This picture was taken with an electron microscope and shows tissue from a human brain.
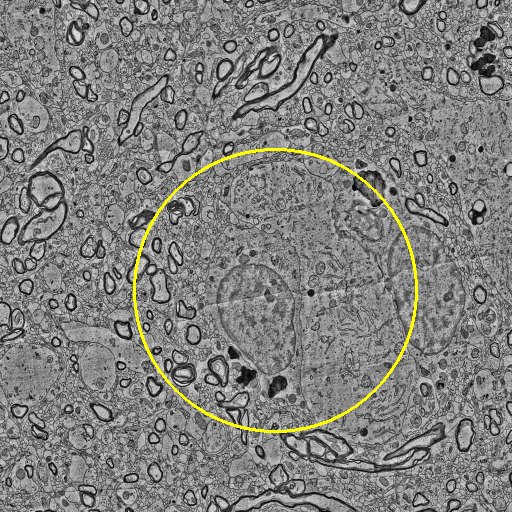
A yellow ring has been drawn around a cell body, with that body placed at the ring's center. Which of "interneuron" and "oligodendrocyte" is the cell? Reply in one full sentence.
In this picture, an oligodendrocyte is the cell at the center of the yellow ring.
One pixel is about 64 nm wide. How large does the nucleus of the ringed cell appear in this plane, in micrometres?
Roughly 5 micrometers across in this plane.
